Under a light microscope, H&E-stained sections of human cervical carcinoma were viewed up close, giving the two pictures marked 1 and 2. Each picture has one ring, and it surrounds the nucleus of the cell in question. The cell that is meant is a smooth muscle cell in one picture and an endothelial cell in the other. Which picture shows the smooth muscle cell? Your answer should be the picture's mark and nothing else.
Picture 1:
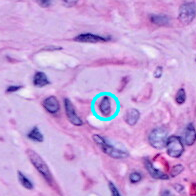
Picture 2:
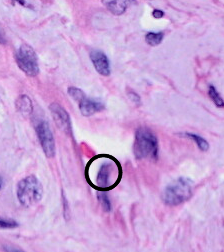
1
